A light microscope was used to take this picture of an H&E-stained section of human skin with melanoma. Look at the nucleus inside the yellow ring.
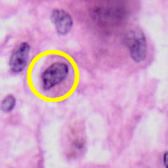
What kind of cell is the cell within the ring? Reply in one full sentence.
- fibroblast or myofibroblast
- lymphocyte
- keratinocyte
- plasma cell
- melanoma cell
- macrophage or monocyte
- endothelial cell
As a matter of cell type, the cell within the ring is a macrophage or monocyte.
